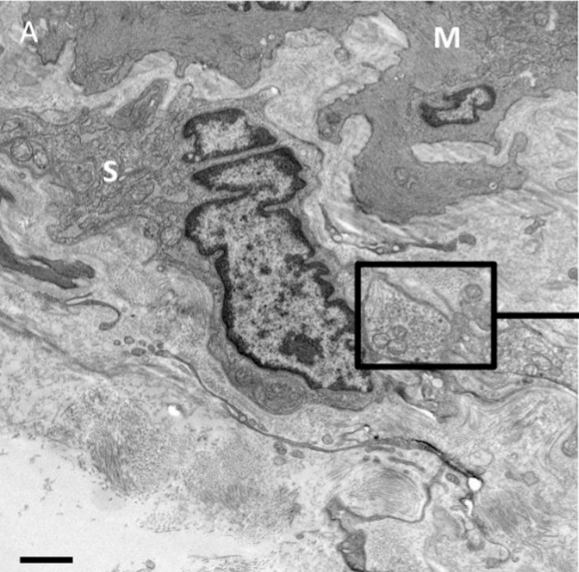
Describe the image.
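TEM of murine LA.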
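At low magnification a cell with a long, deeply indented nucleus with dense peripheral chromatin extends thin cytoplasmic processes around small profiles, one of which is filled with vesicles and mitochondria. Above it lies a large, uniformly dense cell with a scalloped outline, separated from the vesicle-filled profile by a gap of pale extracellular matrix. These are a Schwann cell enclosing a nerve terminal, set apart from a myocyte.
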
